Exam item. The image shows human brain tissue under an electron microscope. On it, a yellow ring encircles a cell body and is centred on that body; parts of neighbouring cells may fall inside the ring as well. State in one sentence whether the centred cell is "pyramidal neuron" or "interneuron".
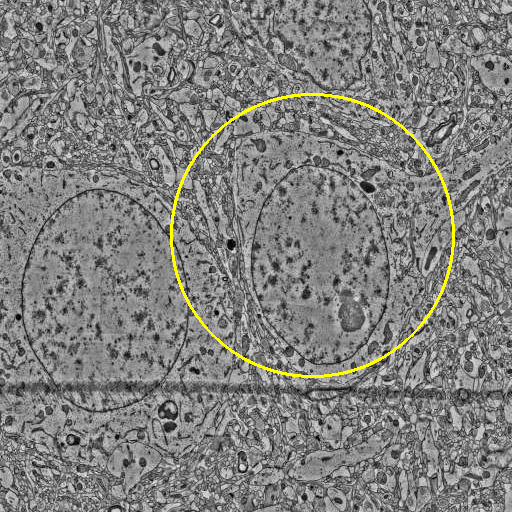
The cell body centred in the ring is a pyramidal neuron.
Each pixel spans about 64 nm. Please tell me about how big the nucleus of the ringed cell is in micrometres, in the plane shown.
In this plane, roughly 13 by 9 micrometres.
